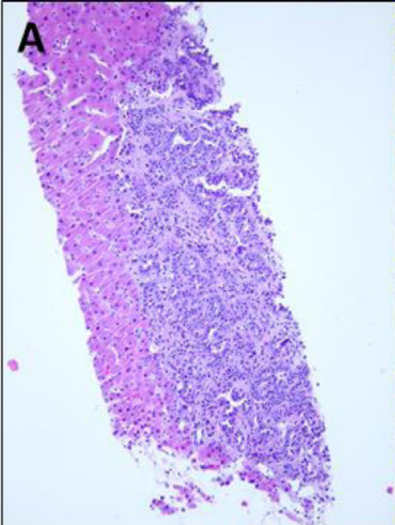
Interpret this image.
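This needle core of liver shows a strip of normal liver at the upper left, with cords of large pink hepatocytes. Beside it, most of the core is replaced by a denser, bluer growth of small crowded cells. These cells form nests, trabeculae and small gland-like spaces, set in a light fibrous background. The border between the pink liver cords and the cellular growth is fairly sharp. This is a tumor focus infiltrating the liver.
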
